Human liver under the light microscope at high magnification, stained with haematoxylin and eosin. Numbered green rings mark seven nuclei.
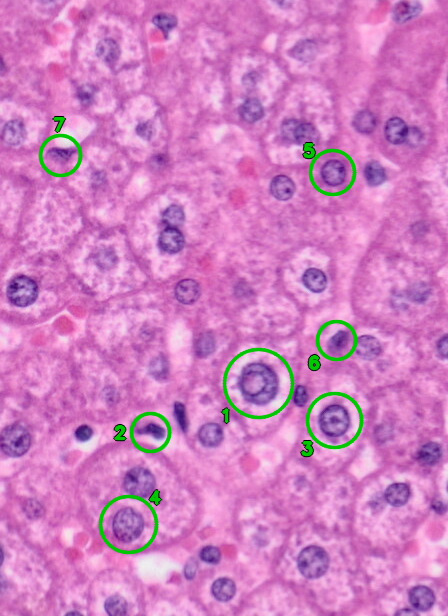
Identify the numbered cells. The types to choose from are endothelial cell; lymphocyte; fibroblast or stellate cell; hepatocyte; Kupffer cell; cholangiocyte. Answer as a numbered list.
1. hepatocyte
2. lymphocyte
3. hepatocyte
4. hepatocyte
5. hepatocyte
6. endothelial cell
7. endothelial cell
